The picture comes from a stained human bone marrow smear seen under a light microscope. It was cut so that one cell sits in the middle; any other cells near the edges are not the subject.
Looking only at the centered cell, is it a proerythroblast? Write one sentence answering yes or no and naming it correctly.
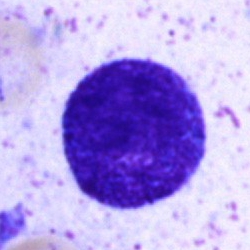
No, rather than being a proerythroblast, the central cell is a promyelocyte.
